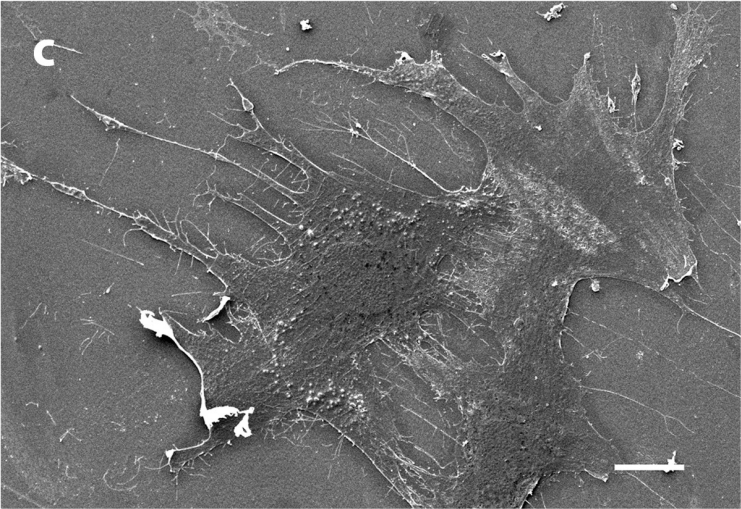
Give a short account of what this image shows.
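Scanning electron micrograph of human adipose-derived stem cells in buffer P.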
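The central surface carries numerous small rounded bumps and fine fibrous texture, while the outer margins end in slender threads and small flattened tips. A bright, irregular fragment of material lies on the lower left of the cell.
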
